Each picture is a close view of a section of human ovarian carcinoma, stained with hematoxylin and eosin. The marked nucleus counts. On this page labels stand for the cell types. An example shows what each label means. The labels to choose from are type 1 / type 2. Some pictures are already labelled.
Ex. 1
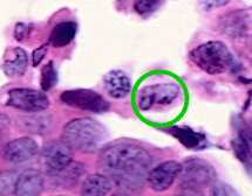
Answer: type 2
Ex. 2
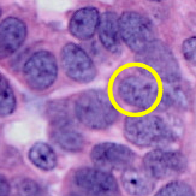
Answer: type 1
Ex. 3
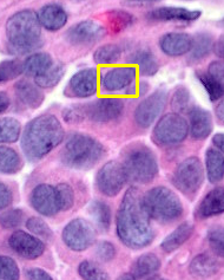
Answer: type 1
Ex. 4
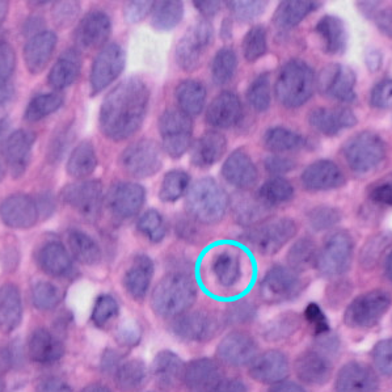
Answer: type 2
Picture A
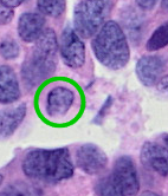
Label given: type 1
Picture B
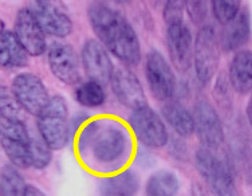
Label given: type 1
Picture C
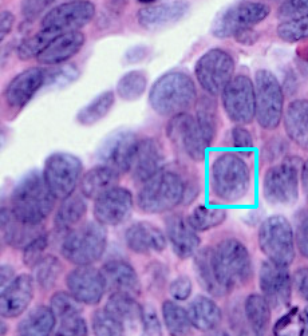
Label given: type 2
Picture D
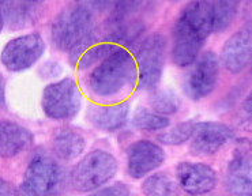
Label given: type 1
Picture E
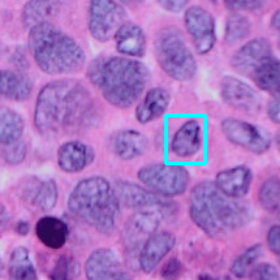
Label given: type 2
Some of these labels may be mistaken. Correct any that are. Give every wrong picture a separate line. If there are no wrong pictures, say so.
A should be type 2, not type 1
C should be type 1, not type 2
